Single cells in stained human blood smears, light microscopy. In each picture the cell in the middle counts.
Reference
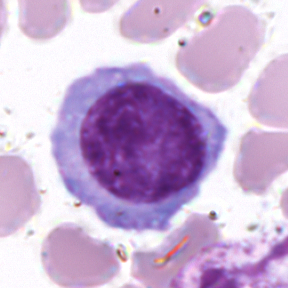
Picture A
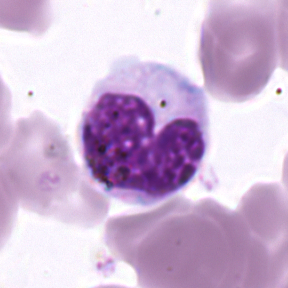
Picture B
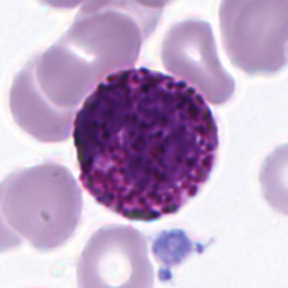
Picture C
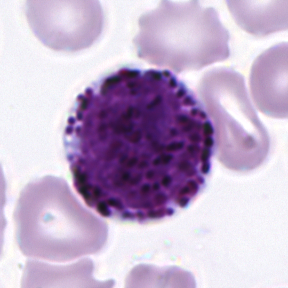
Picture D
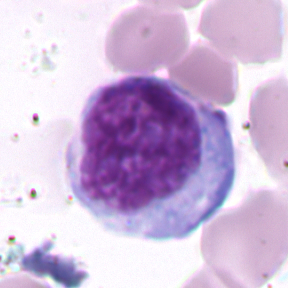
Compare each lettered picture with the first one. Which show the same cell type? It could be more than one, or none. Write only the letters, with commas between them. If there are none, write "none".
D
